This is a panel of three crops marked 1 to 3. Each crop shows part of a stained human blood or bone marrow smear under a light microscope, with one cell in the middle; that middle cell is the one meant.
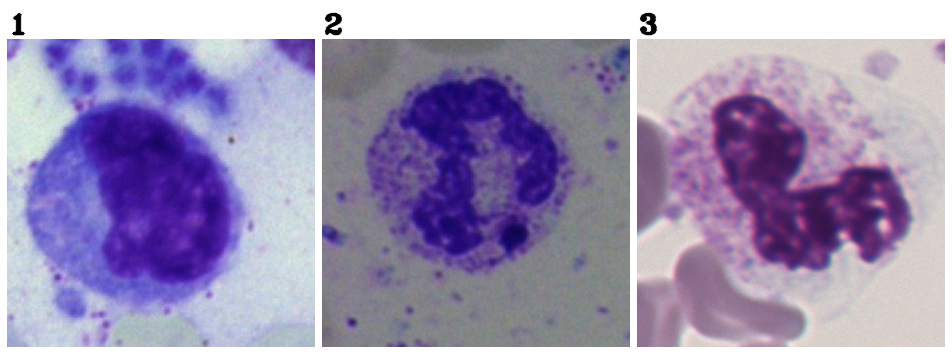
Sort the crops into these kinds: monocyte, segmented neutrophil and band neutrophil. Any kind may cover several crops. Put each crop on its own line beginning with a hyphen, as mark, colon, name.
- 1: monocyte
- 2: segmented neutrophil
- 3: band neutrophil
